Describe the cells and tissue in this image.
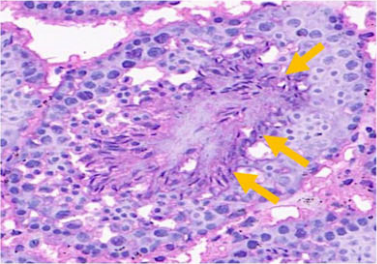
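Along the rim, just inside a thin pink boundary, sit small, dark, rounded nuclei. Toward the center the cells change shape: groups of slender, intensely dark, elongated heads gather in bundles with their pale pink tails streaming into the lumen, the final products of sperm formation. Between this tubule and its neighbours runs loose pink interstitial tissue with scattered small nuclei.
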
